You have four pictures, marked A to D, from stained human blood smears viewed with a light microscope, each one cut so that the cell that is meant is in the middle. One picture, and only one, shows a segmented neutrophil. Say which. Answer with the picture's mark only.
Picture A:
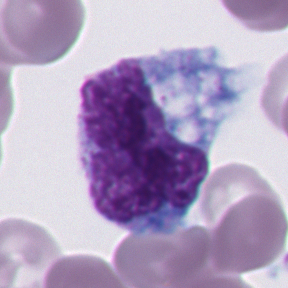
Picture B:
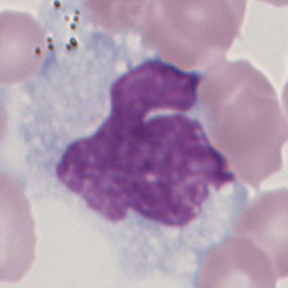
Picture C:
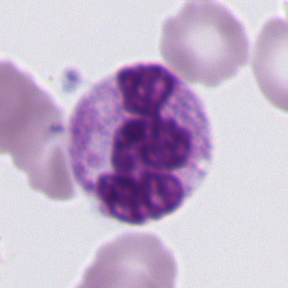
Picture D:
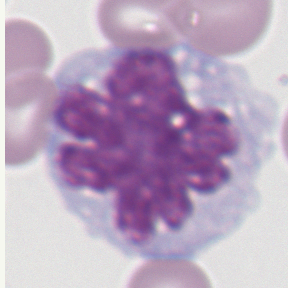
C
